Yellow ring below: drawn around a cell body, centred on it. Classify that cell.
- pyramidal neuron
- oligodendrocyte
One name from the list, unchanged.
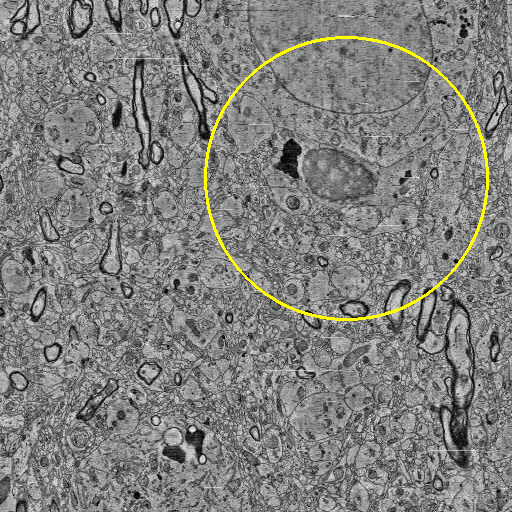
oligodendrocyte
